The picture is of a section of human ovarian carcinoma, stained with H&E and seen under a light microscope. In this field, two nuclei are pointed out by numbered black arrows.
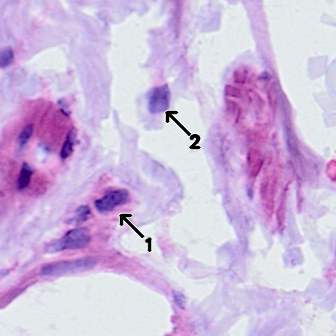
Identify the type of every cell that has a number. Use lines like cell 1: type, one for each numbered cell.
cell 1: endothelial cell
cell 2: fibroblast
